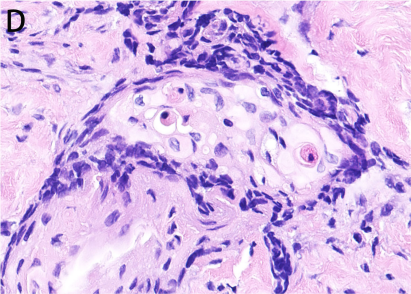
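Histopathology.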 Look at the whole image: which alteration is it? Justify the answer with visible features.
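A nest of cells with pale pink cytoplasm contains small round bright pink keratin bodies. The nest is rimmed by small dark basaloid cells without transition layers. Stroma around is pink and fibrous.
Abrupt keratinization.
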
